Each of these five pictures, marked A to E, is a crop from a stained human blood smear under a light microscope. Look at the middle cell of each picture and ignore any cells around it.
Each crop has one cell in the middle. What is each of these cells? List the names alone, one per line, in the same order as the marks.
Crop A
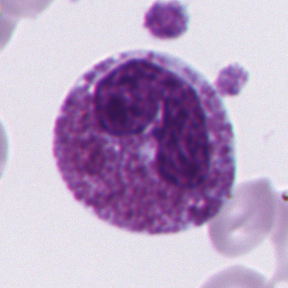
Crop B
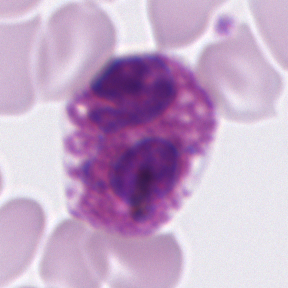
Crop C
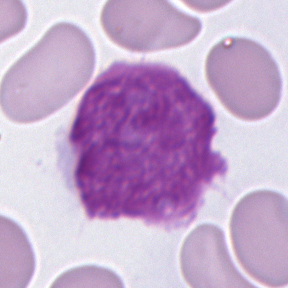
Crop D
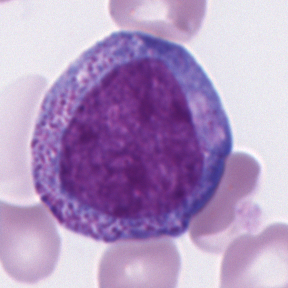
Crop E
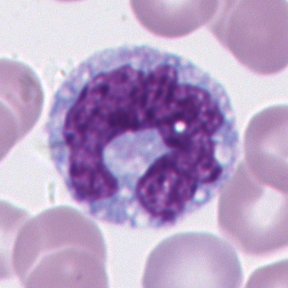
eosinophil
eosinophil
smudge cell
promyelocyte
monocyte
